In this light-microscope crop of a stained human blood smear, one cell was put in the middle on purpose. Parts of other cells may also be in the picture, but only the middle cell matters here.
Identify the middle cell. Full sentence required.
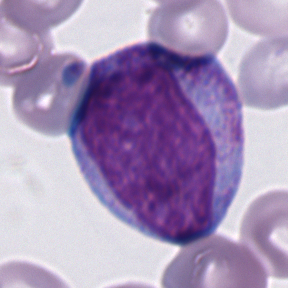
The center cell of this crop is a promyelocyte.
